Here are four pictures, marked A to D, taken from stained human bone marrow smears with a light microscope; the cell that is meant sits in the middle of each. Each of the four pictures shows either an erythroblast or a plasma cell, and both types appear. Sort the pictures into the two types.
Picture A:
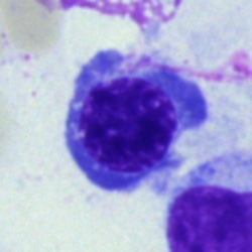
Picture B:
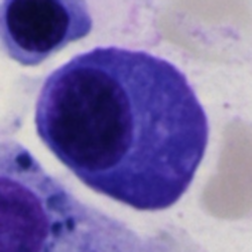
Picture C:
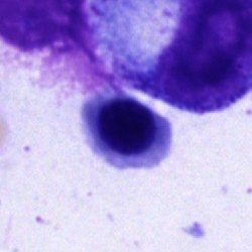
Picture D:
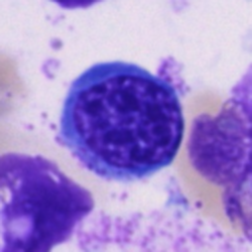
A: erythroblast
B: plasma cell
C: erythroblast
D: erythroblast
